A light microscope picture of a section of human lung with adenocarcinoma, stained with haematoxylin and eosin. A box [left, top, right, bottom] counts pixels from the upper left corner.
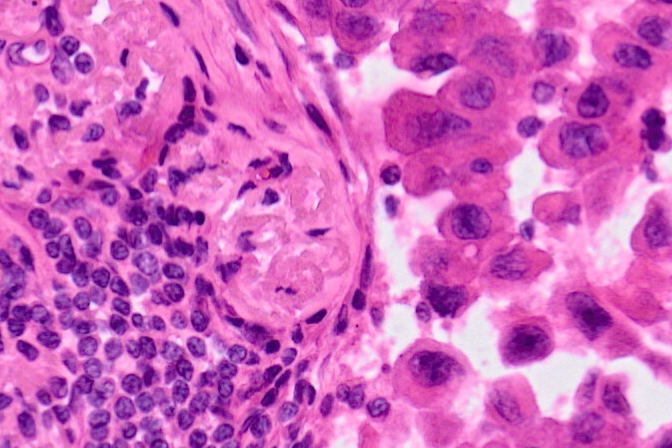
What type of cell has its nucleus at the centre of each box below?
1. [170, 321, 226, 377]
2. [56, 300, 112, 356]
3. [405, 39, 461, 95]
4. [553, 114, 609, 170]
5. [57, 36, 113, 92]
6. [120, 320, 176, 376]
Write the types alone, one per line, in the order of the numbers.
lymphocyte
lymphocyte
carcinoma cell
carcinoma cell
lymphocyte
lymphocyte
